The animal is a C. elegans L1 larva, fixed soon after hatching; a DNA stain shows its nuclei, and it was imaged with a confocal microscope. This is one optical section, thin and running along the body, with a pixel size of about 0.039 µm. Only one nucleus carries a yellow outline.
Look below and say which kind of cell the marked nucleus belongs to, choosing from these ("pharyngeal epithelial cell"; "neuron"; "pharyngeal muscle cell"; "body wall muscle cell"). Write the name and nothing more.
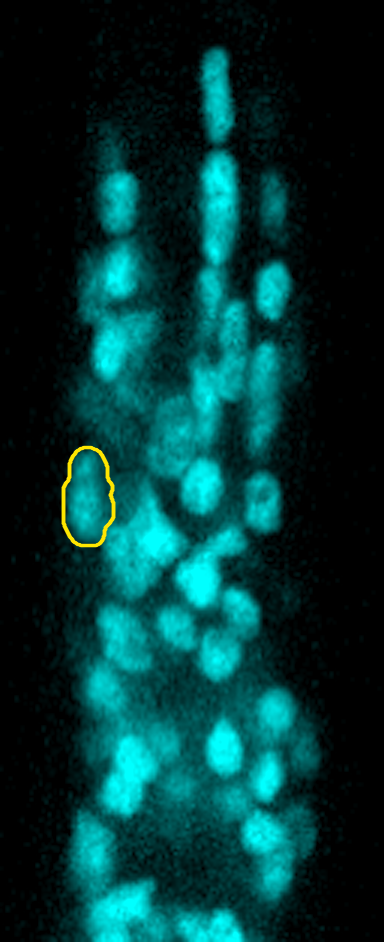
body wall muscle cell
